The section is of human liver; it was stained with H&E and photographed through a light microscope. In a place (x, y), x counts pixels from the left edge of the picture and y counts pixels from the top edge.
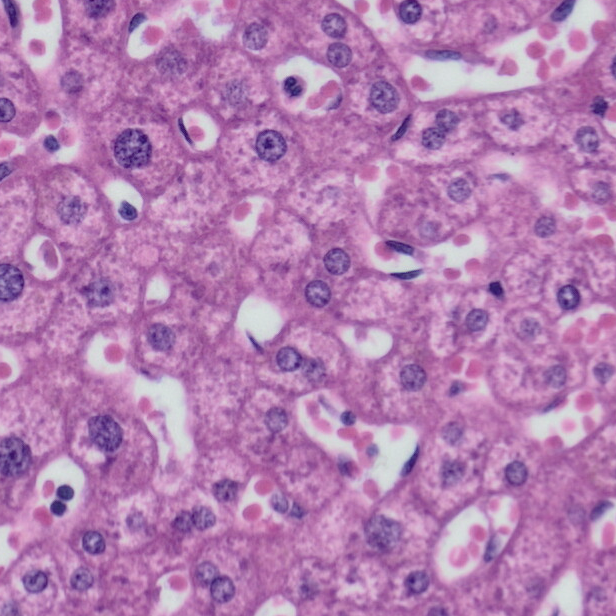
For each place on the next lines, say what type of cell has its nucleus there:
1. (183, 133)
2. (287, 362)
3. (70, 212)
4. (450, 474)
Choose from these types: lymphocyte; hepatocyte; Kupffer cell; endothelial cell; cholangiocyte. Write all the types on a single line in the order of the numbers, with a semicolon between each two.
endothelial cell; hepatocyte; hepatocyte; hepatocyte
